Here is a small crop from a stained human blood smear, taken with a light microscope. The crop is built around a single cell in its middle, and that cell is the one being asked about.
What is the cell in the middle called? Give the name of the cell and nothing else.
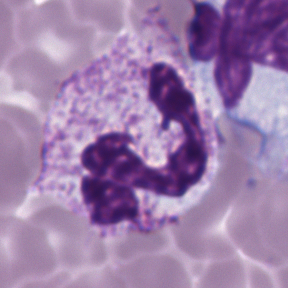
segmented neutrophil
